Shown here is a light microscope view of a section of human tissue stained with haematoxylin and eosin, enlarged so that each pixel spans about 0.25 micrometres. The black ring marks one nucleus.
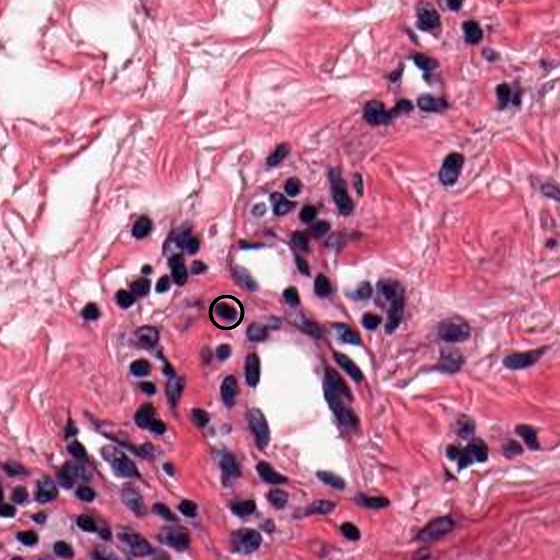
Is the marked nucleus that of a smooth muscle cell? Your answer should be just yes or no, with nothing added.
no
